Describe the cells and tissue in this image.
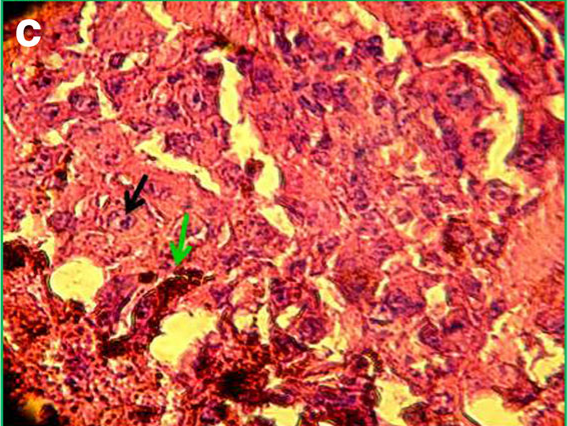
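Melanoma tumor tissue made of crowded, irregular cells with dark purple nuclei in pink cytoplasm. Nuclei vary in size and shape. Dark brown pigment clumps gather in the lower left part. Pale yellowish clefts and spaces run between the cell masses.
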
